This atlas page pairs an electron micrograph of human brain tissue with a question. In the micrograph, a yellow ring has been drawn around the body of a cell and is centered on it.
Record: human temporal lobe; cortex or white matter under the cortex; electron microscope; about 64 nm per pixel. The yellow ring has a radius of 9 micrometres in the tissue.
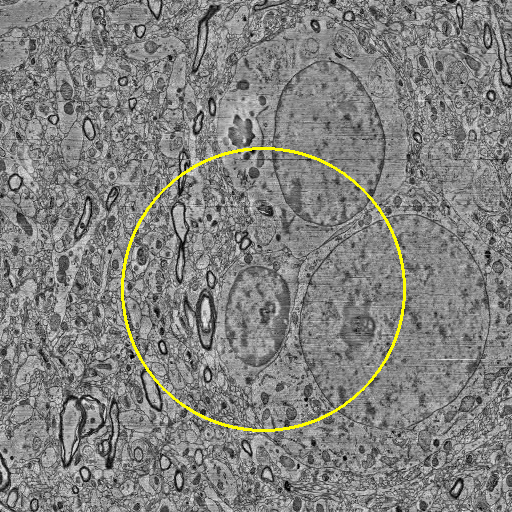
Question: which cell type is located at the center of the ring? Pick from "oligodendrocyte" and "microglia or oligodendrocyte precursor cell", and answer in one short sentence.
Located at the center of the ring is an oligodendrocyte.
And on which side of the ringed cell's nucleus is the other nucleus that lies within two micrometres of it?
The other nucleus is located to the right of it.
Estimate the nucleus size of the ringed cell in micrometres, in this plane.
The nucleus comes to approximately 6 by 4 micrometres and is clearly longer than it is wide in this plane.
